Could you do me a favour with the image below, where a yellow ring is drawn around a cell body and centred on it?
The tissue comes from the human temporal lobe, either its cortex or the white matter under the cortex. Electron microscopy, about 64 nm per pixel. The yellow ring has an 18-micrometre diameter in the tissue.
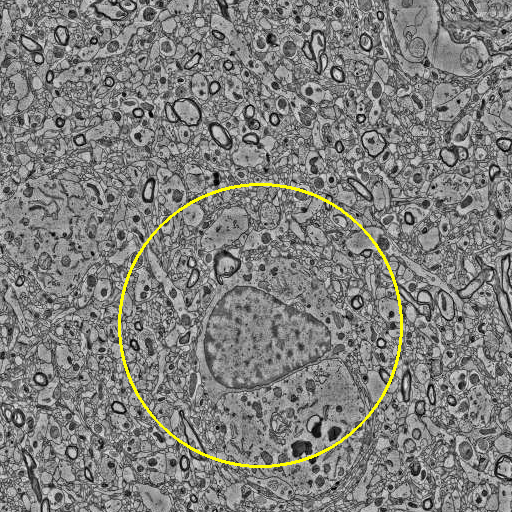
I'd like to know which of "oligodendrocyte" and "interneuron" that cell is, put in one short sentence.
The cell at the ring's centre is an oligodendrocyte.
